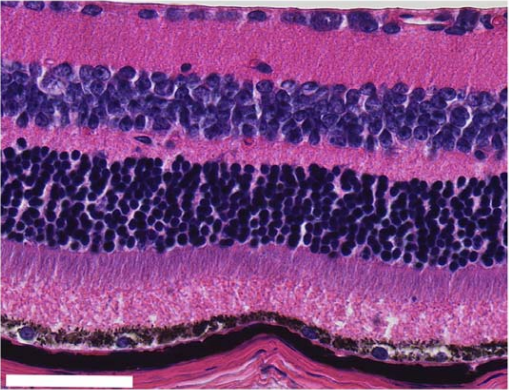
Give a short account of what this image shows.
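Cross section of retina in layers from a flat inner surface down to a pigmented epithelium and choroid. A row of scattered nuclei lines the inner surface above a broad pink fibrous layer, followed by a band of several rows of rounder, paler purple nuclei, a thin pink fibrous band, and a thick band of densely packed small dark round nuclei.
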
